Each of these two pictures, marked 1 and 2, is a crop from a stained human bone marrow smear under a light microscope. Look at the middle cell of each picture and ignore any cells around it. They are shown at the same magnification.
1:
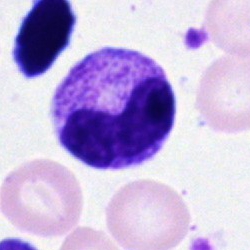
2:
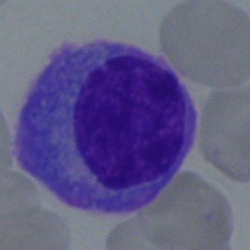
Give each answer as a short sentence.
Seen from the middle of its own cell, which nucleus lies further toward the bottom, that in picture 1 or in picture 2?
In picture 1 the nucleus is shifted more toward the bottom.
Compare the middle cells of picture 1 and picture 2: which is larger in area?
The cell in picture 2 is larger, with about 2 times the area of the one in picture 1.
